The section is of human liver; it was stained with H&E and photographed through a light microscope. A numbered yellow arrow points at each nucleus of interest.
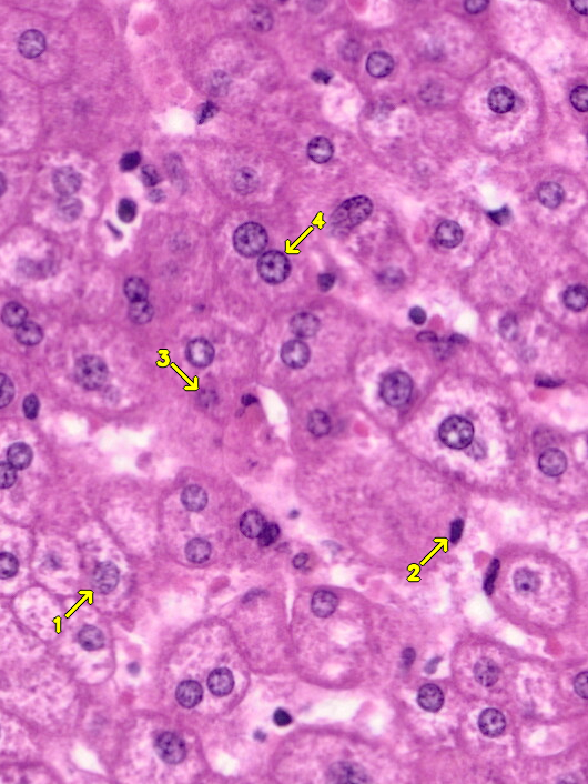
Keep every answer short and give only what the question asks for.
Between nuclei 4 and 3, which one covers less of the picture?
3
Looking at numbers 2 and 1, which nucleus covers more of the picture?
1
